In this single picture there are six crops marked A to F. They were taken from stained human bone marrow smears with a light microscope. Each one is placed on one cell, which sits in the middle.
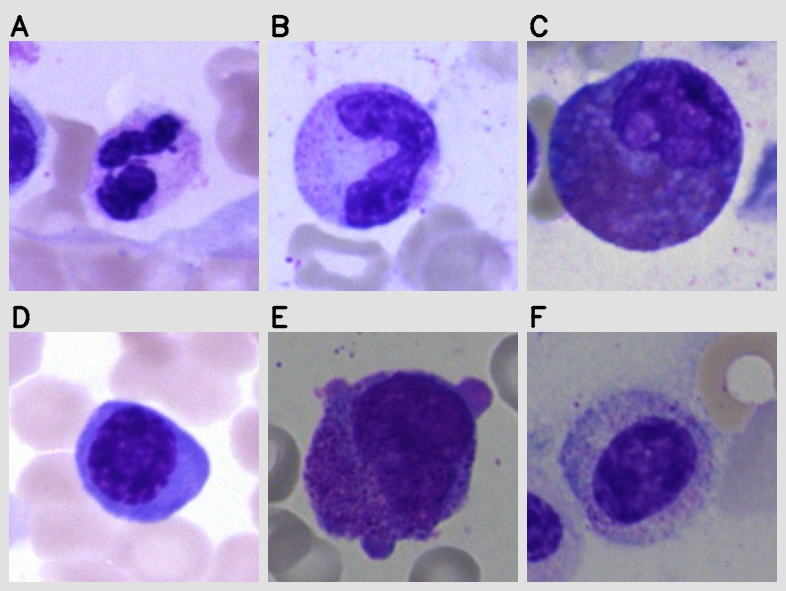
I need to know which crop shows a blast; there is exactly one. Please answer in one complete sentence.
It is crop E, not any other, that shows a blast.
